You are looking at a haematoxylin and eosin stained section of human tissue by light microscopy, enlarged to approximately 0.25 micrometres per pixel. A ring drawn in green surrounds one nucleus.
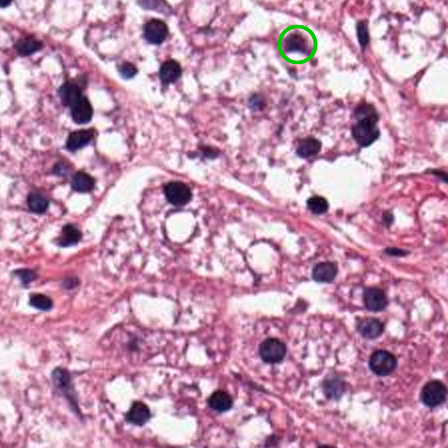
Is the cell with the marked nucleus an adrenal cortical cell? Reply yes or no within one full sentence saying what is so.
Yes, belonging to an adrenal cortical cell is the marked nucleus.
